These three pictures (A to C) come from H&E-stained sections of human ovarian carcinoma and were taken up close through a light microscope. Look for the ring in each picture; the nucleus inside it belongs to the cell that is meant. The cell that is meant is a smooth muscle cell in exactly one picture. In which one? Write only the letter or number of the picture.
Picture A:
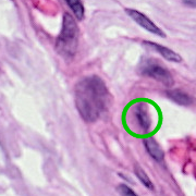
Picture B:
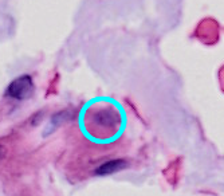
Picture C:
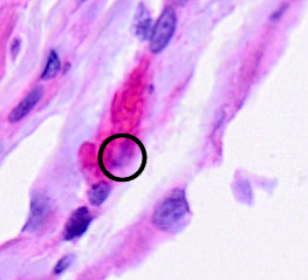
B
